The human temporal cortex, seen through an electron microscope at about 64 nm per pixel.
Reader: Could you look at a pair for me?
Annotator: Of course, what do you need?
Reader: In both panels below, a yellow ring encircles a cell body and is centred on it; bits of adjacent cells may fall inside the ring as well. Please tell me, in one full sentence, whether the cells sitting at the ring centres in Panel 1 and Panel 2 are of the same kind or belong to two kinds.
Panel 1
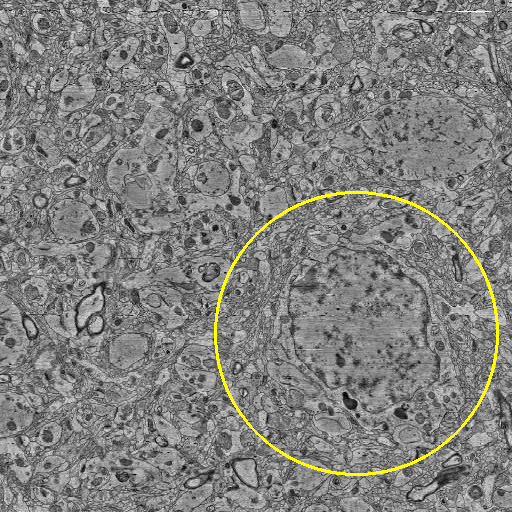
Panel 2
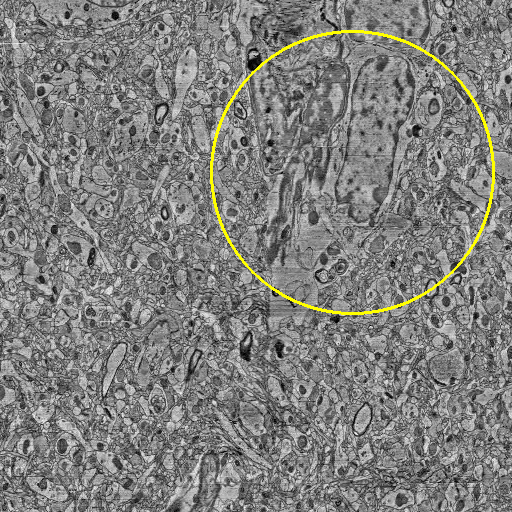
The cell at the ring's centre in Panel 1 and the one in Panel 2 belong to two kinds.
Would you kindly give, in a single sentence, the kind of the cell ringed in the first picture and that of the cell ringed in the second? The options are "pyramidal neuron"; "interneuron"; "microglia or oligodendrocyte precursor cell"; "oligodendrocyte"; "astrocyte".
The second cell is a microglial cell or oligodendrocyte precursor cell, and the first cell is an interneuron.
